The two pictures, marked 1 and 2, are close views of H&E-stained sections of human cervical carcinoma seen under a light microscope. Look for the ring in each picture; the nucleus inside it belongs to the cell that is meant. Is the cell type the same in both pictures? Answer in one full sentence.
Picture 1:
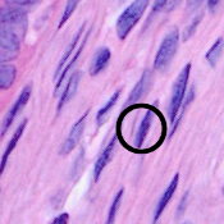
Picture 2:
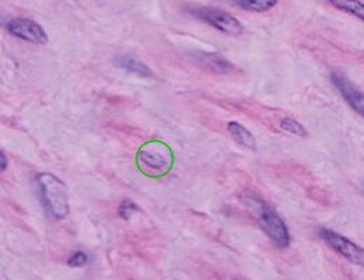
No; the cell in picture 1 is a fibroblast, while the one in picture 2 is a smooth muscle cell.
